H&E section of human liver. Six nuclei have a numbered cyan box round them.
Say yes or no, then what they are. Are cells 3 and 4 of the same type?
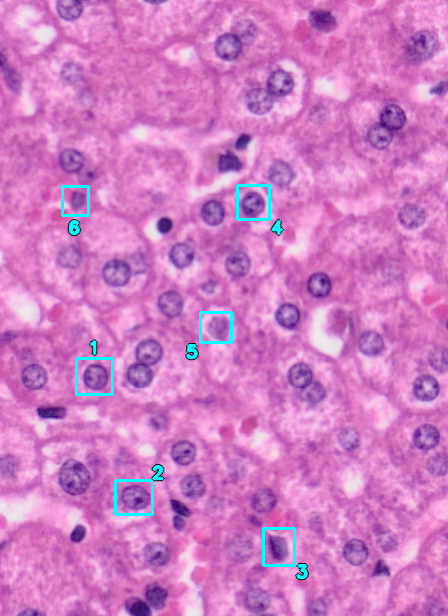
No, unlike cell 4, which is a hepatocyte, cell 3 is an endothelial cell.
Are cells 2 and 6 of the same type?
No, cell 2 is a hepatocyte and cell 6, for its part, is a Kupffer cell.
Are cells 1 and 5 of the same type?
Yes, the two numbered cells 1 and 5 are both hepatocytes.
